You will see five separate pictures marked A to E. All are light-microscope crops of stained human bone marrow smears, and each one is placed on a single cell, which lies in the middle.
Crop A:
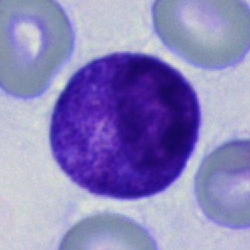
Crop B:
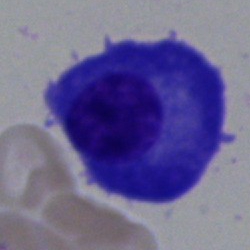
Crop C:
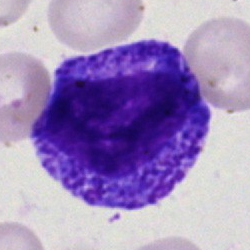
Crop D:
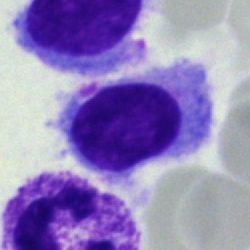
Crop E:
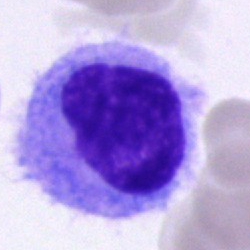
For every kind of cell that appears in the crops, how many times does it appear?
promyelocyte: 2
hairy cell: 2
plasma cell: 1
